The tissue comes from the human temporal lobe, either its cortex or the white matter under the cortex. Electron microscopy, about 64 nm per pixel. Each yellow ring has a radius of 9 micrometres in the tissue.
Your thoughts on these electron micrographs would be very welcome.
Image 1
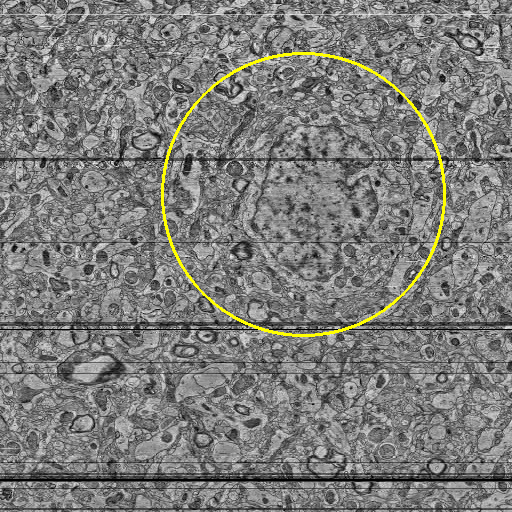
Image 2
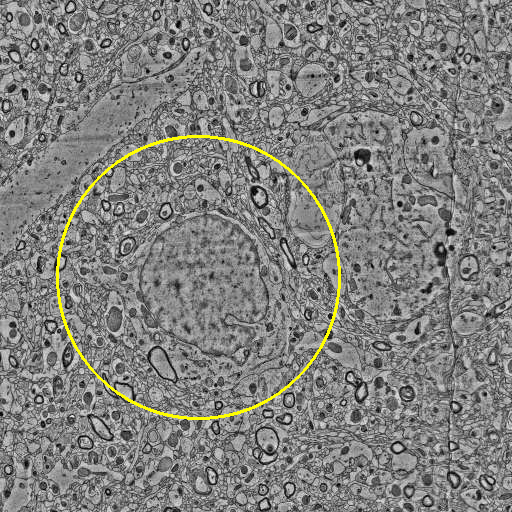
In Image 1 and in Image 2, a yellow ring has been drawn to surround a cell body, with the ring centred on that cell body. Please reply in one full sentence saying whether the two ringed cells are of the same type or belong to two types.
The ringed cells in Image 1 and Image 2 are of the same type.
